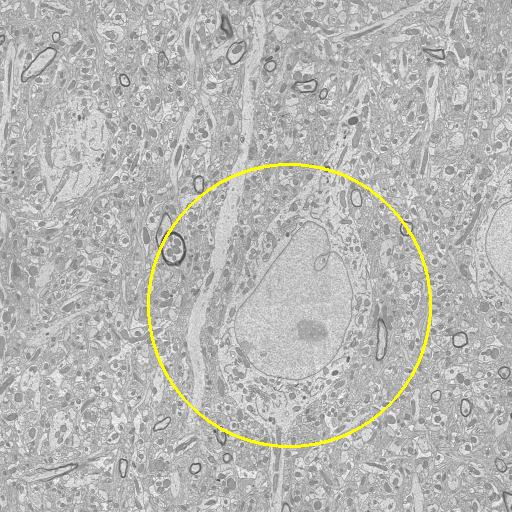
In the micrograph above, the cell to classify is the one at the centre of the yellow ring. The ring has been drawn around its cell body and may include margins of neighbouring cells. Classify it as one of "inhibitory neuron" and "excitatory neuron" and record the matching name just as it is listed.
inhibitory neuron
